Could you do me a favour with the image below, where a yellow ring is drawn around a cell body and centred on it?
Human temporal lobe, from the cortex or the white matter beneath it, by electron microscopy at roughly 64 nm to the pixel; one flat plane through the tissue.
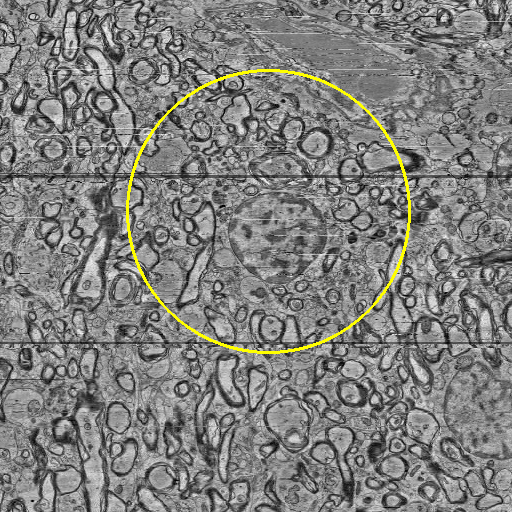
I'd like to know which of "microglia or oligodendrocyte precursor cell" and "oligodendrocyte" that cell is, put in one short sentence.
The cell at the ring's centre is a microglial cell or oligodendrocyte precursor cell.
